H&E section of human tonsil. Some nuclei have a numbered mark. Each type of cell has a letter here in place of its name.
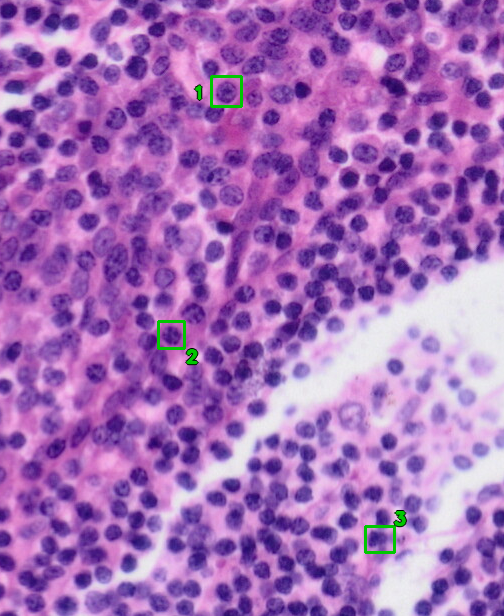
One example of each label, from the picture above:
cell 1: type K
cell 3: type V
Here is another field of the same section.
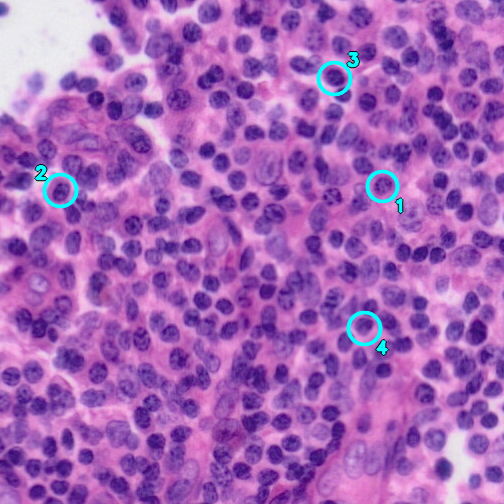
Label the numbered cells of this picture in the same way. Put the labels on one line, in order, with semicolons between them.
type K; type K; type K; type V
